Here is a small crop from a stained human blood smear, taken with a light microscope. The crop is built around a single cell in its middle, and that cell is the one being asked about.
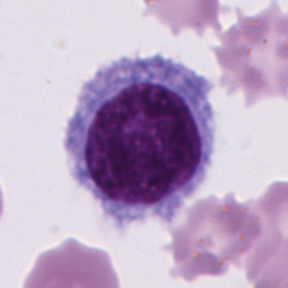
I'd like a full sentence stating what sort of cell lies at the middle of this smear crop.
The cell around which this crop is centred is a hairy cell.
